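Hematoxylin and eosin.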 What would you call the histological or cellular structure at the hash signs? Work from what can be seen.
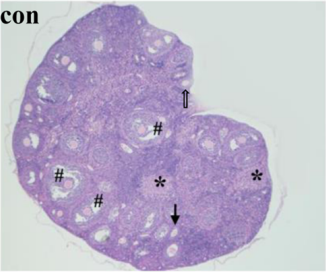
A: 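Each marked structure is a round follicle with a clear fluid-filled cavity. The cavity is surrounded by a ring of densely purple-stained cells.
Hence: antral follicles.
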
